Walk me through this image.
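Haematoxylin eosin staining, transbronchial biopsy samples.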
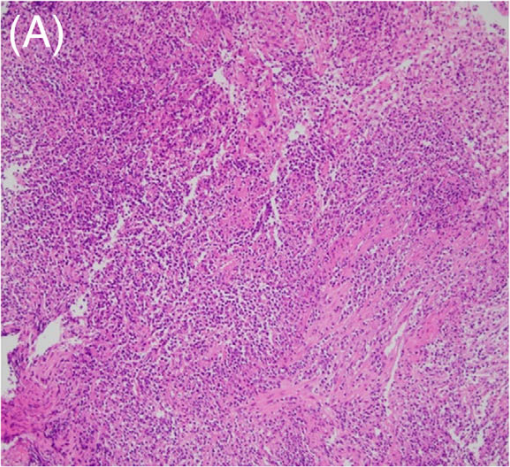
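Between the cell-rich areas run bands and strands of pink fibrous tissue, giving a streaming, somewhat storiform pattern. No open air spaces of normal alveolar lung are visible in the field. Together this is a dense inflammatory infiltrate rich in lymphocytes within fibrotic tissue.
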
